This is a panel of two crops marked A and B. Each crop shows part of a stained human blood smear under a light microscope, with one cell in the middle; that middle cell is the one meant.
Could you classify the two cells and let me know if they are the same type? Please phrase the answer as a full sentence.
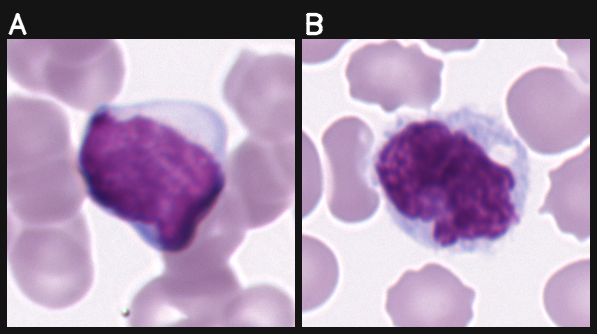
No, sorry, crop A shows a large granular lymphocyte and crop B shows a hairy cell.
